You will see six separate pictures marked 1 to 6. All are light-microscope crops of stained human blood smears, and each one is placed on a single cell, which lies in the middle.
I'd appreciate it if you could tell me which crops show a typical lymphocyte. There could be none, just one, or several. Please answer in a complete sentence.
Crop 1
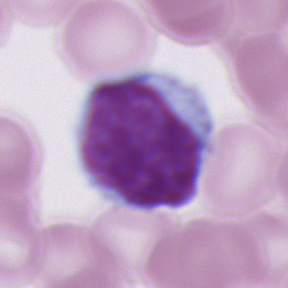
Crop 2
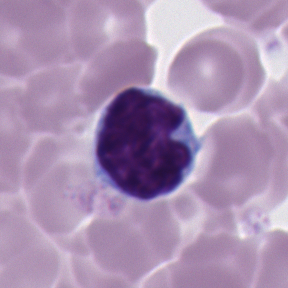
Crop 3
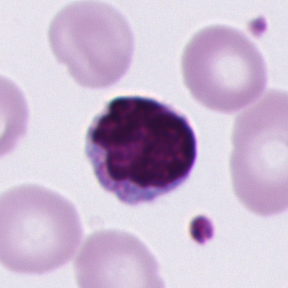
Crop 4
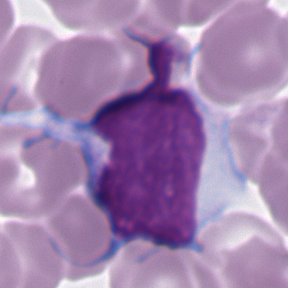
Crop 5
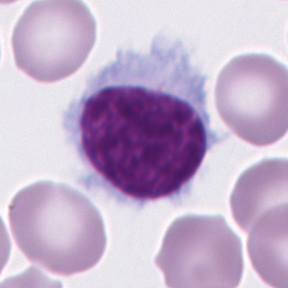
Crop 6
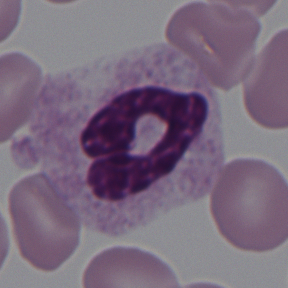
Here, the cells at the centre of crops 1, 2 and 4 are typical lymphocytes.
